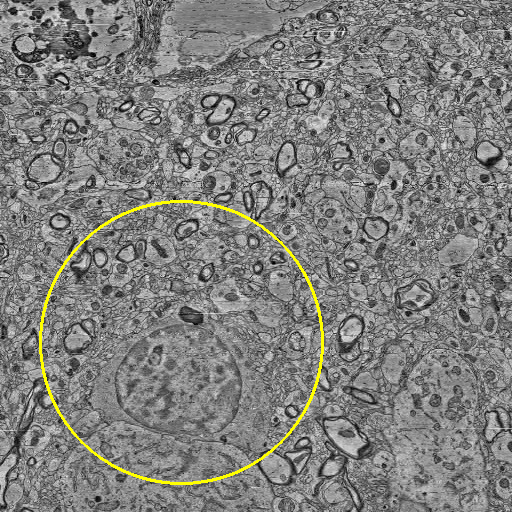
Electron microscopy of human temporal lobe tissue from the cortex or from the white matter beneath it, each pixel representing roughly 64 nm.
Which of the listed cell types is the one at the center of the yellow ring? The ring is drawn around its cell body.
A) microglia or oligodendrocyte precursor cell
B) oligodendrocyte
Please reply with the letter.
B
